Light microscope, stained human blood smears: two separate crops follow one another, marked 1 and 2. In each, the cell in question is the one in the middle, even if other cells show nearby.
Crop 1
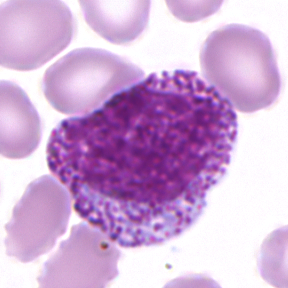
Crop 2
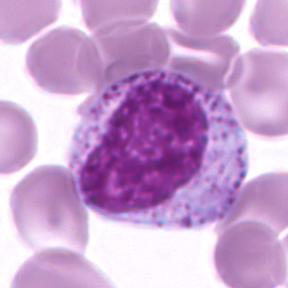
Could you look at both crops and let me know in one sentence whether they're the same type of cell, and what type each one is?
Yes, that is right, both crops show myelocytes.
